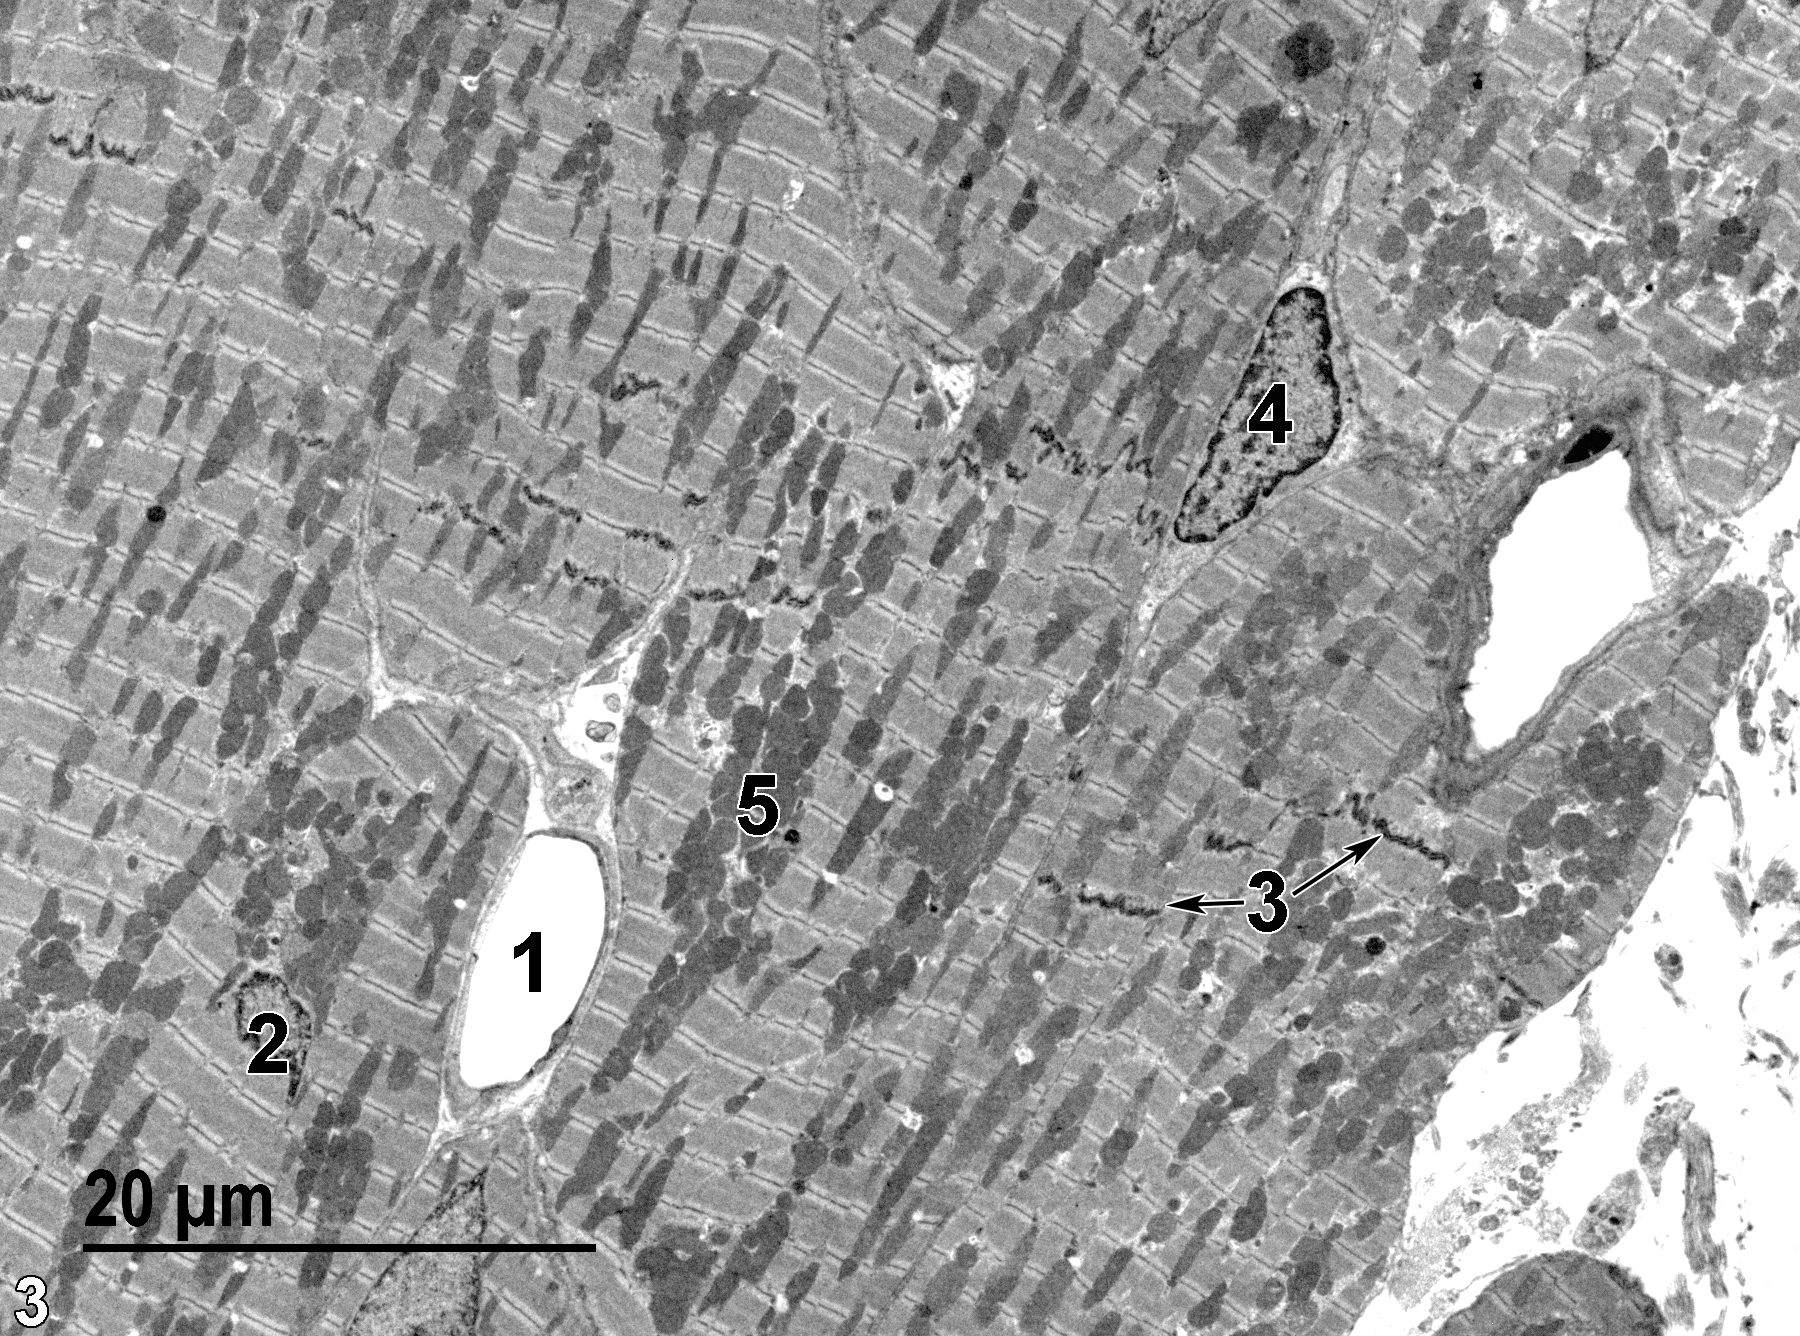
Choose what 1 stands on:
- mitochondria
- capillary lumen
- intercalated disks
capillary lumen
